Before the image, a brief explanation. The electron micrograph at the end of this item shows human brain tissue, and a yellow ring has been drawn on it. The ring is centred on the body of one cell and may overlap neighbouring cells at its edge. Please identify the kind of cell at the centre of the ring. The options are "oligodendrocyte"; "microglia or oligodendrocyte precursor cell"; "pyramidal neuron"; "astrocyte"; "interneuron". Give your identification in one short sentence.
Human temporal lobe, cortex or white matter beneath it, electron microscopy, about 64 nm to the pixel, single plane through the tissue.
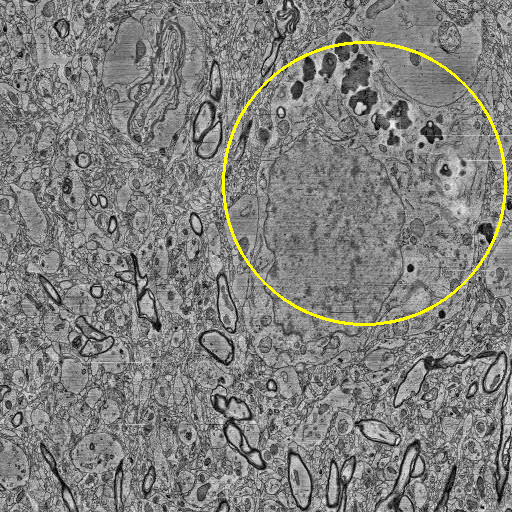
The ring has been placed around an interneuron.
